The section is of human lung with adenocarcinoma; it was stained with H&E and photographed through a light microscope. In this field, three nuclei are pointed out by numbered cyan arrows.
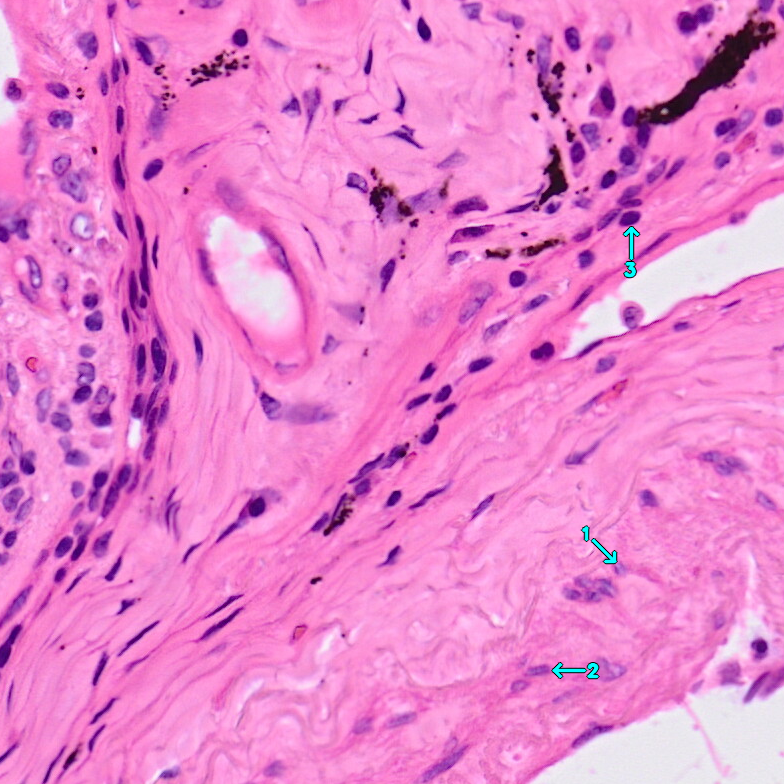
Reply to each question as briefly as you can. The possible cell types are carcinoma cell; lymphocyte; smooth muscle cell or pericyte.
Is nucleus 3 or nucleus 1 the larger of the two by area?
3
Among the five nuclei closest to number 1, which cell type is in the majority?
smooth muscle cell or pericyte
